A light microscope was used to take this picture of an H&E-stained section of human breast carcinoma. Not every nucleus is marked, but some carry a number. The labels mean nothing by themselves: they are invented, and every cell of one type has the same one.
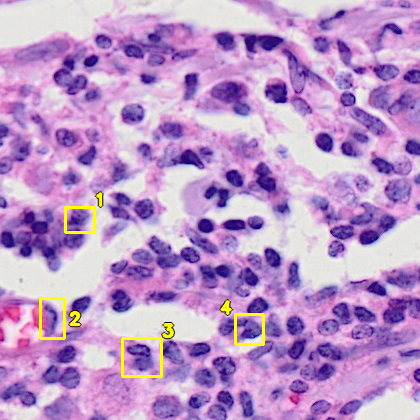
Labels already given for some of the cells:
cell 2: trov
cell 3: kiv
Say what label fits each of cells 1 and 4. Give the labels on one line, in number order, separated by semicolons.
kiv; kiv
